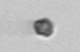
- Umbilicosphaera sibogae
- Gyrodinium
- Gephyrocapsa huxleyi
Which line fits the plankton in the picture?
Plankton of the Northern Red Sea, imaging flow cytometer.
Gephyrocapsa huxleyi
